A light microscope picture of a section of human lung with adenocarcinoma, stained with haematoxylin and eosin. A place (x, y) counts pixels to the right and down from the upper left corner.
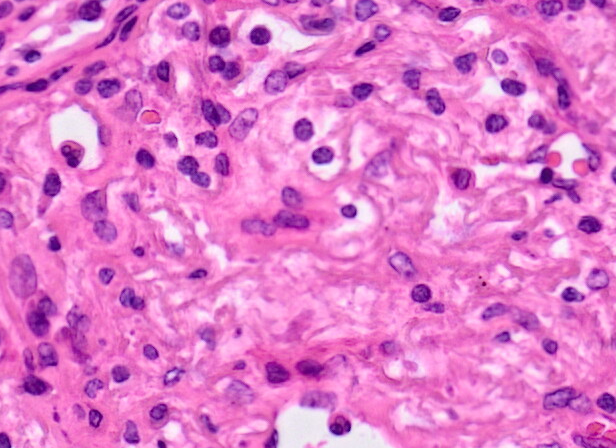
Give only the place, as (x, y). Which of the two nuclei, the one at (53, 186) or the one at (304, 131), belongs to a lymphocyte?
(304, 131)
